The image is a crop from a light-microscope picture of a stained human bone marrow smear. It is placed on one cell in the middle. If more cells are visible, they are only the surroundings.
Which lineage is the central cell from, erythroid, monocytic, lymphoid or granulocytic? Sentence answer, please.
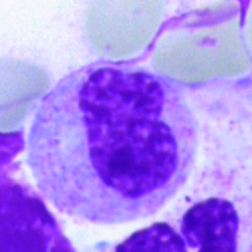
The cell positioned centrally in this crop arises from the granulocytic lineage.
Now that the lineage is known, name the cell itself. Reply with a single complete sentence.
The cell in the exact centre of the crop is a band neutrophil.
